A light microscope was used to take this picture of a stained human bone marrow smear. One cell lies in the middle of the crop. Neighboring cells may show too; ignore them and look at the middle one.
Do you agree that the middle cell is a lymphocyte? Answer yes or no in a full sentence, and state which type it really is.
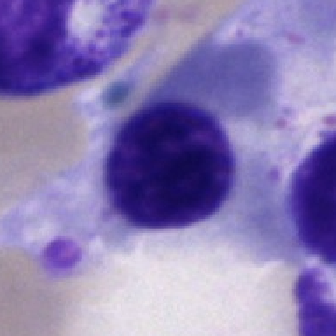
No, it is not a lymphocyte that sits at the centre but a normoblast.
